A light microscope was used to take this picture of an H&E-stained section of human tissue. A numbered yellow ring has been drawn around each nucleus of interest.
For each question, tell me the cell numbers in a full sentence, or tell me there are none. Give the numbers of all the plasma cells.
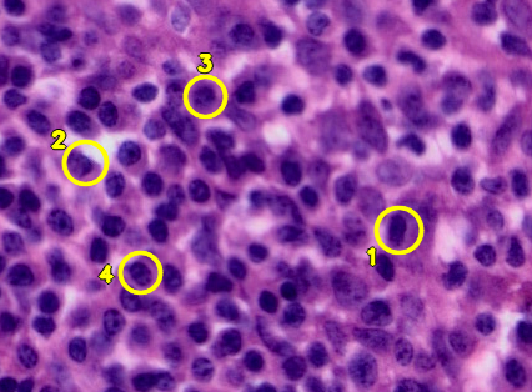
Cells 2, 3 and 4 share one type; they are plasma cells.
